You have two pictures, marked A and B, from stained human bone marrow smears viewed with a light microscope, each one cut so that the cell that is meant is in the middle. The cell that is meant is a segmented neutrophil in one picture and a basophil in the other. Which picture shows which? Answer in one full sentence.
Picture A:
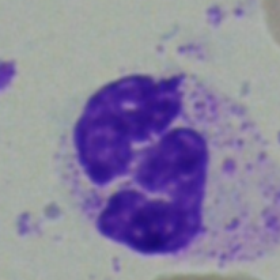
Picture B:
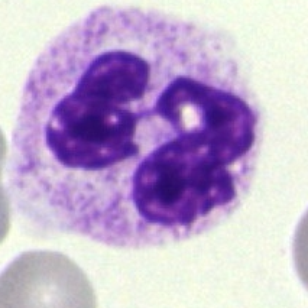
In picture A the cell is a basophil; in picture B, a segmented neutrophil.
